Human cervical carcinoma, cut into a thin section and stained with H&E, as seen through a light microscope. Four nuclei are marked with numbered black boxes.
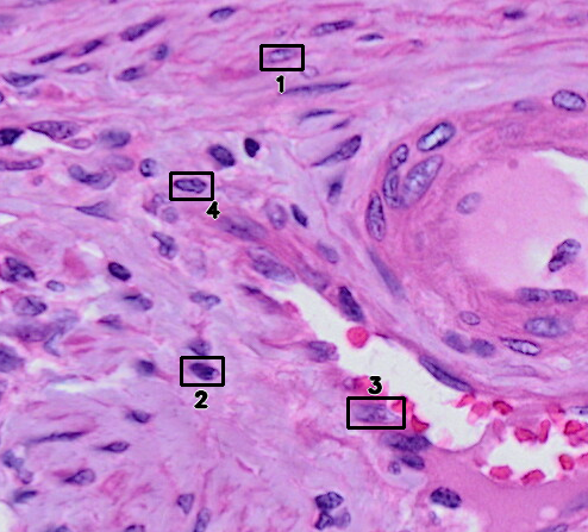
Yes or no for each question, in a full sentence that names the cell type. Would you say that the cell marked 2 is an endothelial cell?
No, the cell at number 2 is a lymphocyte instead of an endothelial cell.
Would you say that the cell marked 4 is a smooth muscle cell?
No, a smooth muscle cell is not what cell 4 is; it is a lymphocyte.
